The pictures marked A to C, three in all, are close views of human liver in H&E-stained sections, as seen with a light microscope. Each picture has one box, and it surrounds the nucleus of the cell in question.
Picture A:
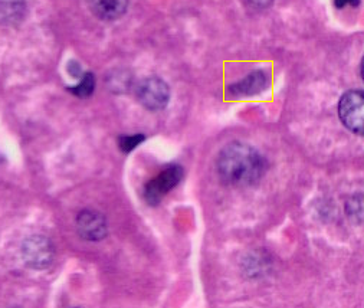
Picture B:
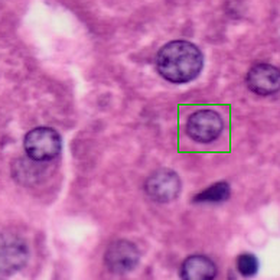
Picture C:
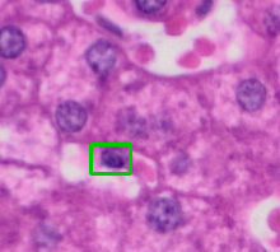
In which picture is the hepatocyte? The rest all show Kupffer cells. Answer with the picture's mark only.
B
